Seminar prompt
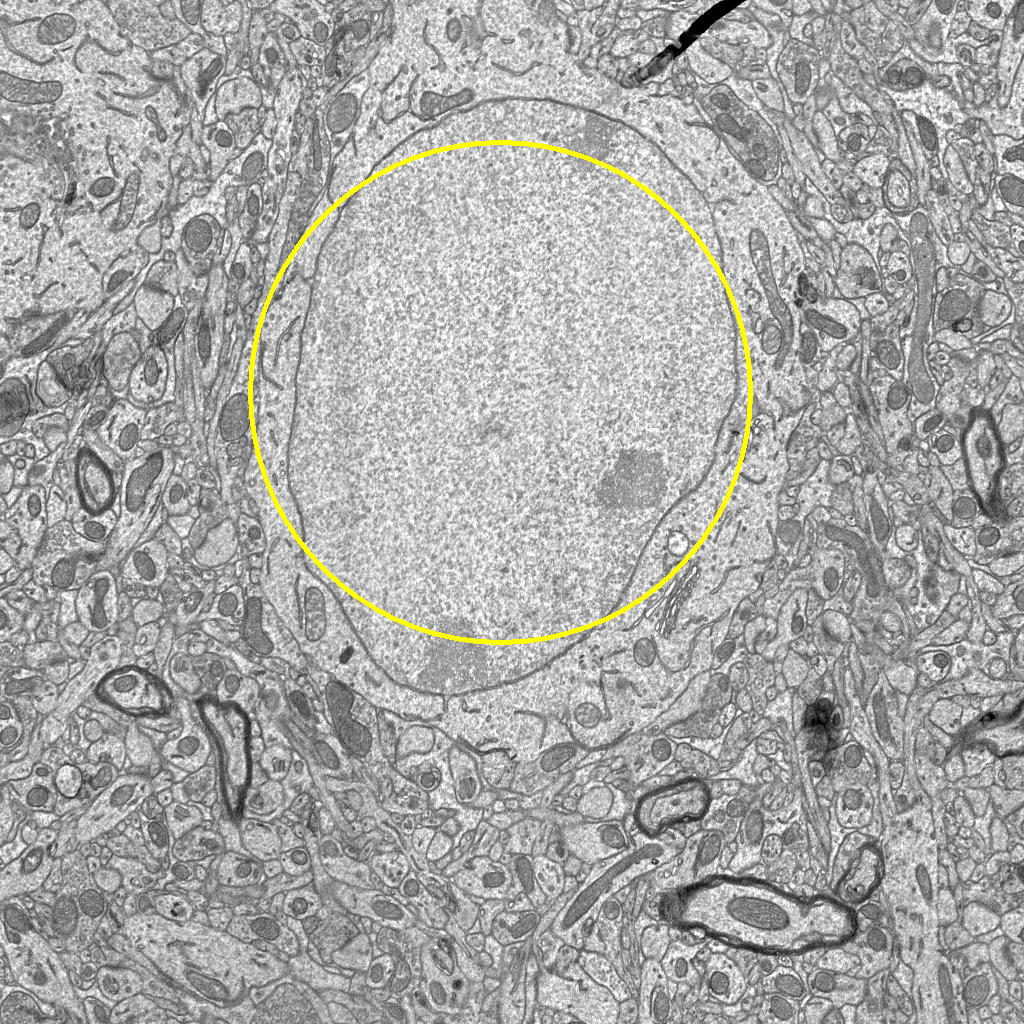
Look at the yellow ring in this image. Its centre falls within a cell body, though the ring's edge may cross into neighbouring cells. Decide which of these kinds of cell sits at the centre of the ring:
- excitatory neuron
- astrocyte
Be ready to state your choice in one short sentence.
The kind of cell at the ring's centre is an excitatory neuron.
